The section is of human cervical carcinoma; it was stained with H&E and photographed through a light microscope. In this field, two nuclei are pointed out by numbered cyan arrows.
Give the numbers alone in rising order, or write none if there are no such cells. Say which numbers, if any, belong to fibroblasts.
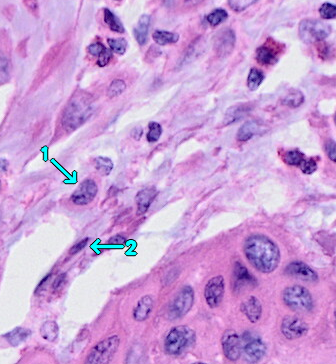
2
